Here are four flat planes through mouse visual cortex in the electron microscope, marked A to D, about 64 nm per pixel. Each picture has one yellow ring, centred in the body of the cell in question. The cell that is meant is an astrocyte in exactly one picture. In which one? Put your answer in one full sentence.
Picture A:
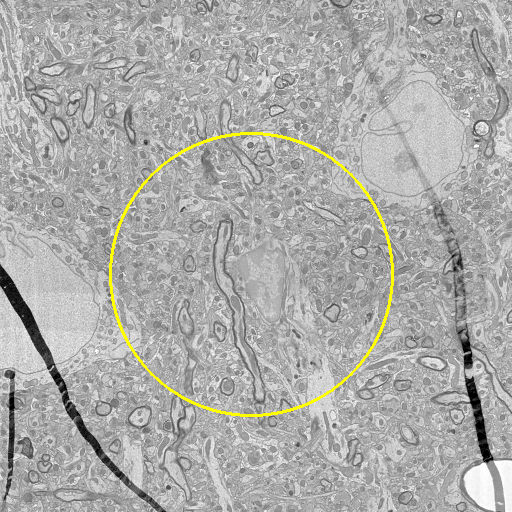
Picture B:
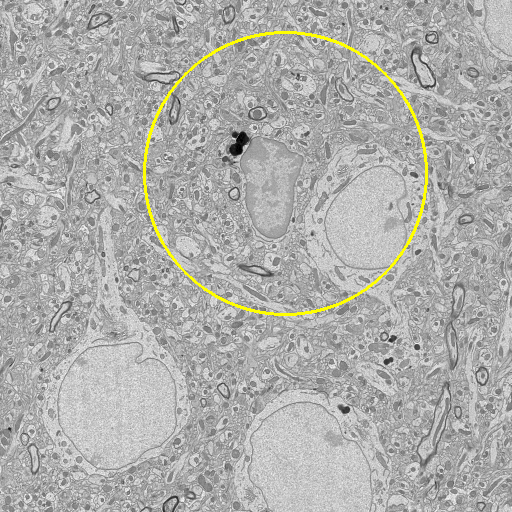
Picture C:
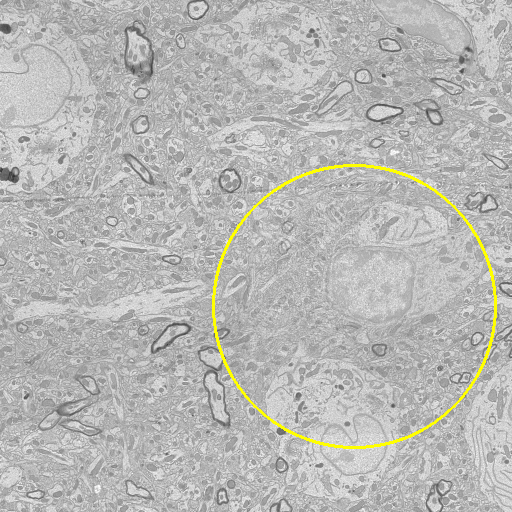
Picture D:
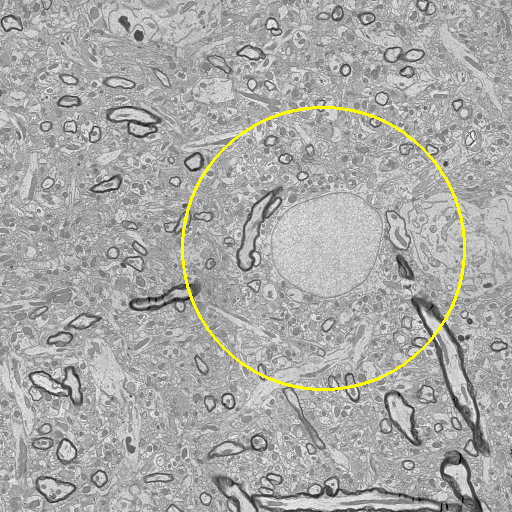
Picture D is the one that shows the astrocyte.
